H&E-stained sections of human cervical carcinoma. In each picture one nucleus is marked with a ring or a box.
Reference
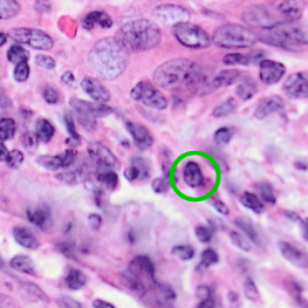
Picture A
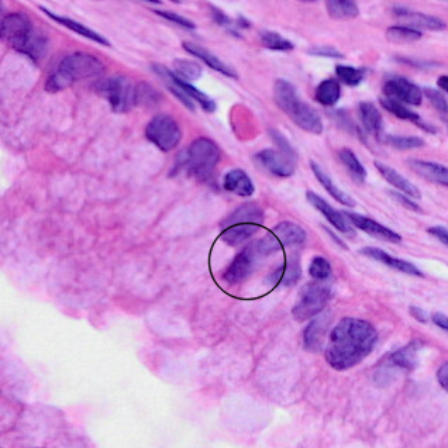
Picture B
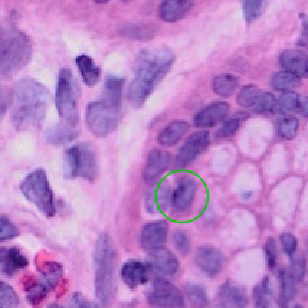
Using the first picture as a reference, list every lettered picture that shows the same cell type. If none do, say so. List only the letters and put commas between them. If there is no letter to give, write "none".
none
